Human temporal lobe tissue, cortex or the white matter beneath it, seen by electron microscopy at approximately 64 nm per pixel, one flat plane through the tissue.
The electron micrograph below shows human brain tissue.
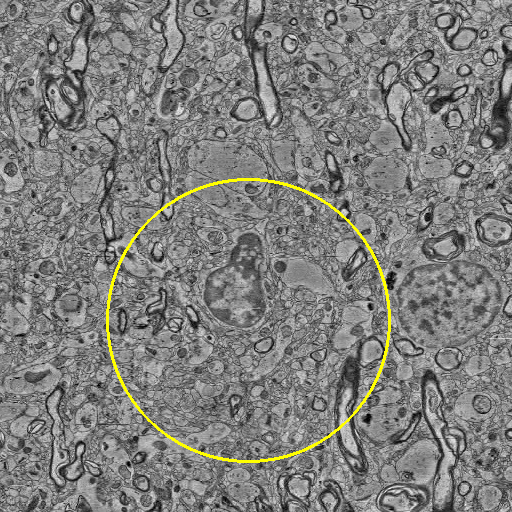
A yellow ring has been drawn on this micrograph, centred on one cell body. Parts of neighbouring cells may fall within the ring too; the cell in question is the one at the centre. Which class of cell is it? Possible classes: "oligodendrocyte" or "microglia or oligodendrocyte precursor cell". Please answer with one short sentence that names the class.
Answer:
In the centre of the ring sits a microglial cell or oligodendrocyte precursor cell.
